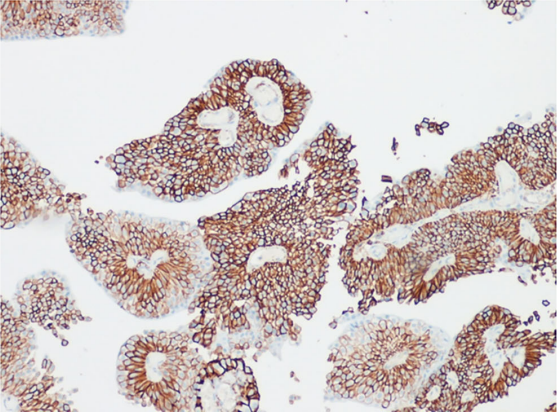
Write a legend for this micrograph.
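Urothelial carcinoma forms papillary nests of thick, many-layered epithelium around small fibrovascular cores. Brown membranous staining outlines the tumor cells diffusely throughout the full thickness of the epithelium, giving a honeycomb pattern. The cells are crowded with round to oval blue nuclei, and those nearest the cores are palisaded around them. A few cells at the outermost surface of some nests are paler.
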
